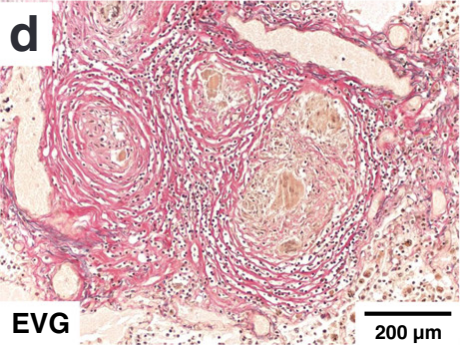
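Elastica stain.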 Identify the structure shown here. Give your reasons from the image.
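Epithelioid granulomas. Rounded nodules with pale tan-brown centres. The nodules are made of cells packed together. Several such nodules lie side by side.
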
